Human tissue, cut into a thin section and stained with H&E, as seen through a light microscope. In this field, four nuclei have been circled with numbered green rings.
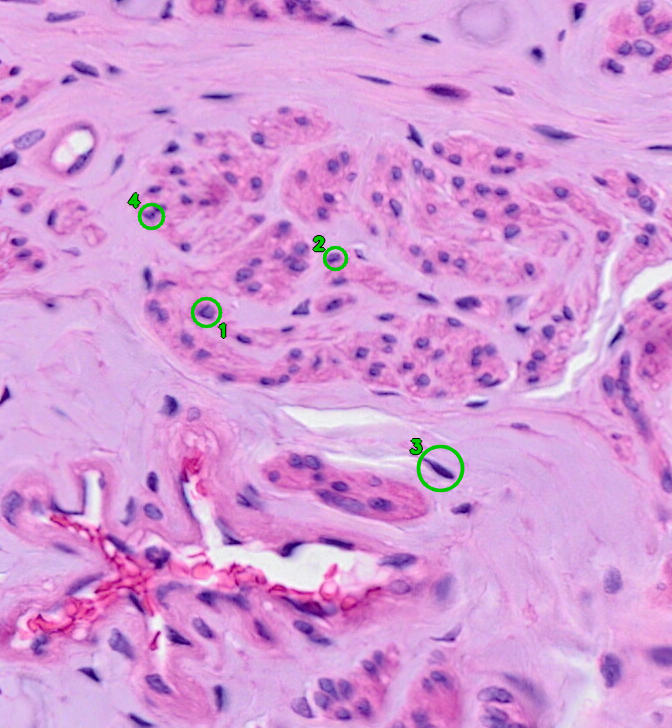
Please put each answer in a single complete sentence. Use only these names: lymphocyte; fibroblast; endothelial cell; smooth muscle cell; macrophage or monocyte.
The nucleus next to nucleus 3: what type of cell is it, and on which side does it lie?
It is a macrophage or monocyte, whose nucleus lies below and to the right of nucleus 3.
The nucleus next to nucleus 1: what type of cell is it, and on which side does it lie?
The nearest one is a smooth muscle cell, found below and to the left of nucleus 1.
